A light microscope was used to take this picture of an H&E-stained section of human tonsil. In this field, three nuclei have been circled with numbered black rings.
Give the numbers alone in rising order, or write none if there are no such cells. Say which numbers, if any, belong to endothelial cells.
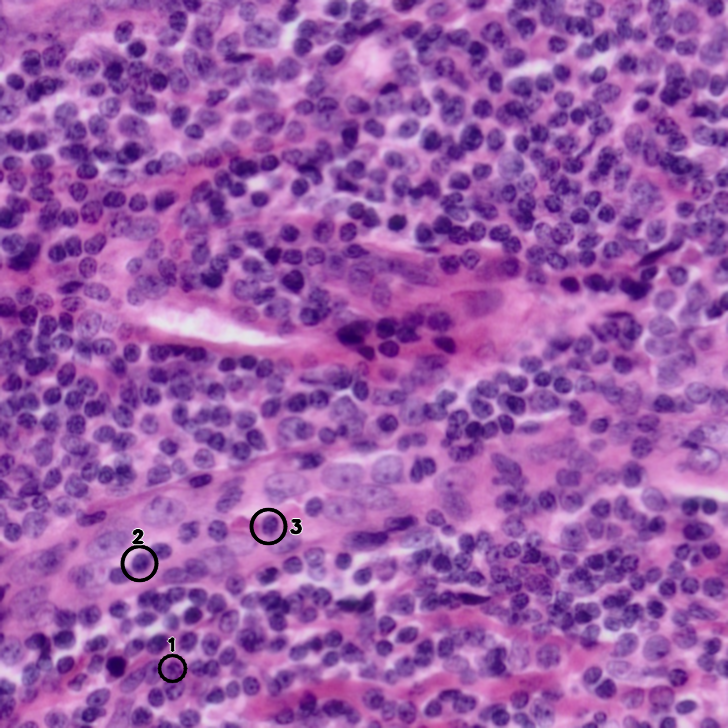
2, 3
